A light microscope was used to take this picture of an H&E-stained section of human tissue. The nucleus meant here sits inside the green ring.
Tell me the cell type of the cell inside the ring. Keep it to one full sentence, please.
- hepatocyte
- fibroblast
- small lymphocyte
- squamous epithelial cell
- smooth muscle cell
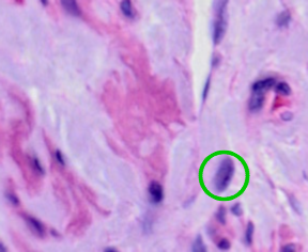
Typologically, the cell inside the ring is a fibroblast in this section.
